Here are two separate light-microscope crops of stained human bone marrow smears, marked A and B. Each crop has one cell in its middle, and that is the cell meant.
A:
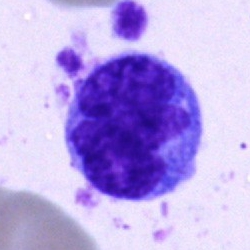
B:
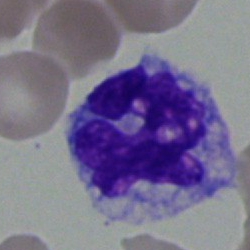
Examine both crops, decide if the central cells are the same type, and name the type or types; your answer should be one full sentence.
Yes, both crops do show monocytes in the middle.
